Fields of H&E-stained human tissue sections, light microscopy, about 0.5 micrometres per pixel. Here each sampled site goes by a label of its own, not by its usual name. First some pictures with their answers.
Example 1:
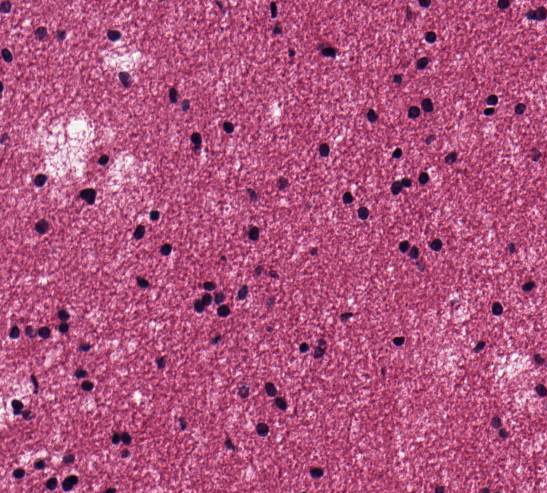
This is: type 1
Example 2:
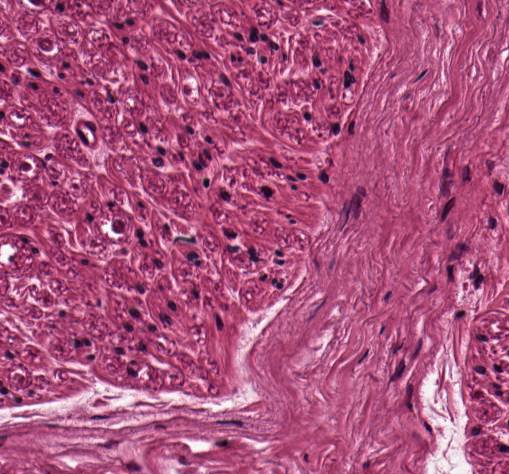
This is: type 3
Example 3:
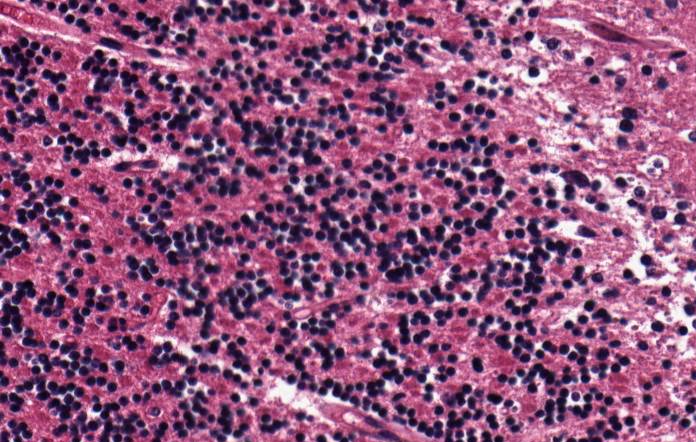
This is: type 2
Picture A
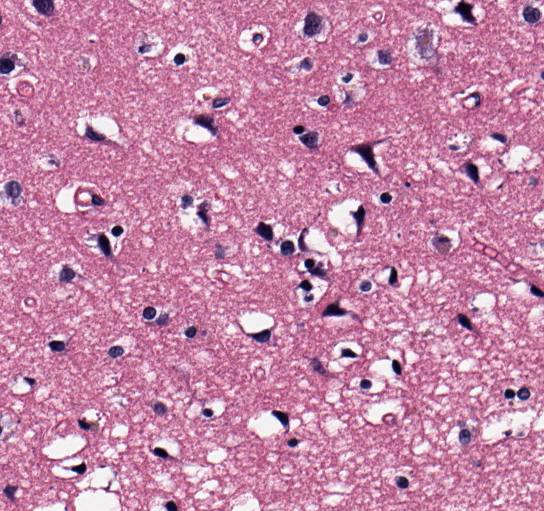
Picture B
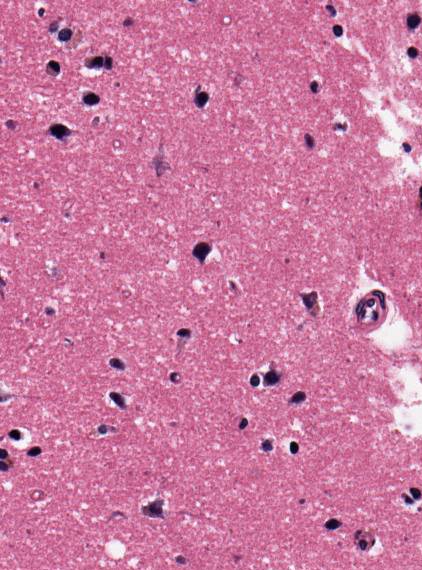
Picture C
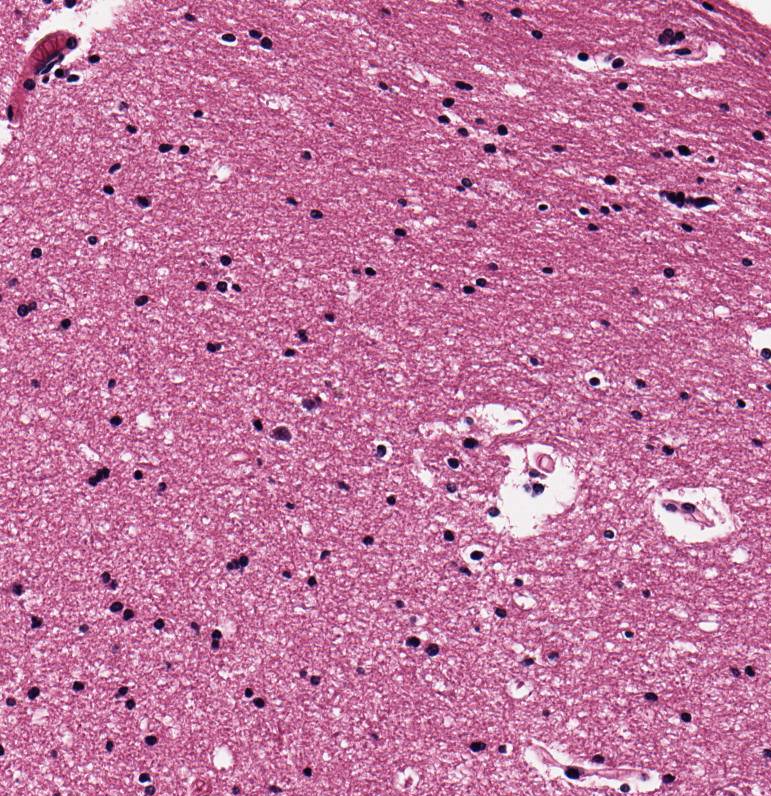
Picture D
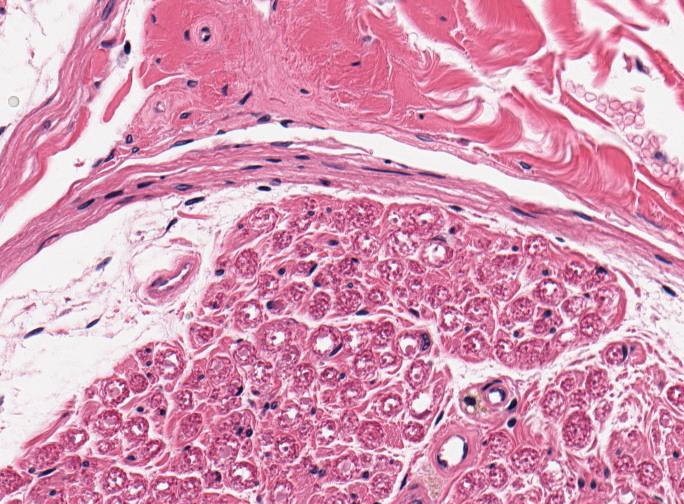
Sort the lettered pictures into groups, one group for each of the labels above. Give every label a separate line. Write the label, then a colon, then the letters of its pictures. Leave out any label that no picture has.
type 1: A, B, C
type 3: D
